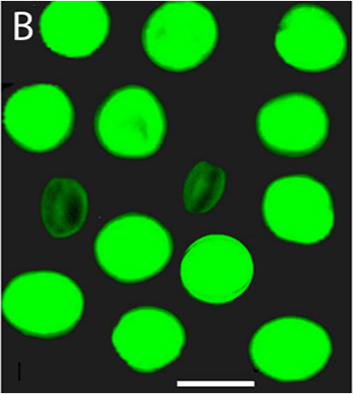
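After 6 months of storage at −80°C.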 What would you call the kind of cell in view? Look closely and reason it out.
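Many round to oval single grains of uniform size. Two darker elliptical grains show a longitudinal furrow. On this evidence: Pollen.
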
